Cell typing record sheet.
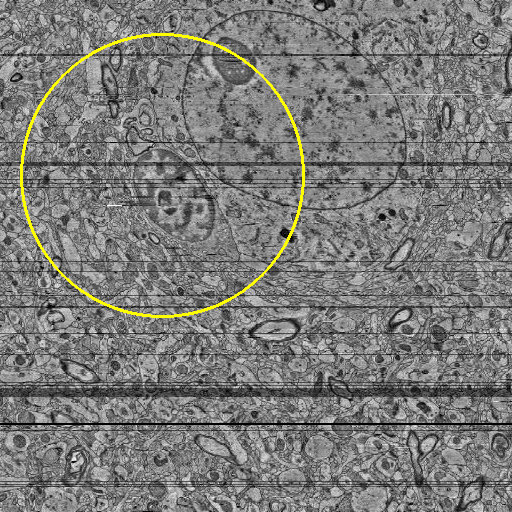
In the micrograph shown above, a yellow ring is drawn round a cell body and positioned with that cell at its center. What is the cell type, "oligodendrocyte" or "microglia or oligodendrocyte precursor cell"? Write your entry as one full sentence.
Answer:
The cell body at the center of the ring belongs to an oligodendrocyte.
